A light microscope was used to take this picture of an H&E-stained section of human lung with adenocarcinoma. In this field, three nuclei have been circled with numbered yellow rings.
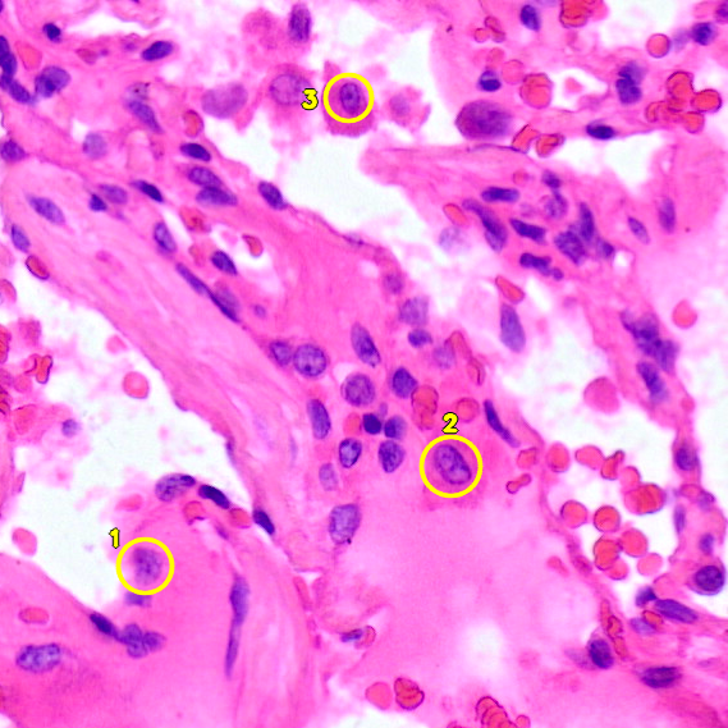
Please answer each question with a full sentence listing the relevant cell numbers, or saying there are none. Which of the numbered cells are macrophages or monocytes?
To be specific, the cells numbered 2 and 3 are macrophages or monocytes.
